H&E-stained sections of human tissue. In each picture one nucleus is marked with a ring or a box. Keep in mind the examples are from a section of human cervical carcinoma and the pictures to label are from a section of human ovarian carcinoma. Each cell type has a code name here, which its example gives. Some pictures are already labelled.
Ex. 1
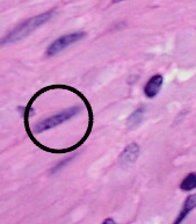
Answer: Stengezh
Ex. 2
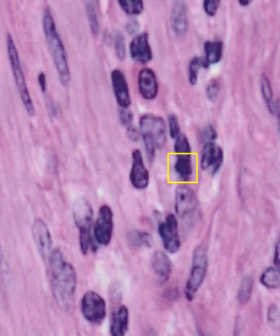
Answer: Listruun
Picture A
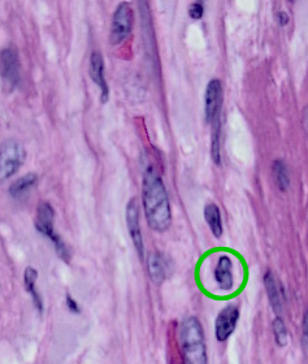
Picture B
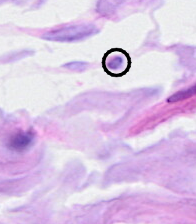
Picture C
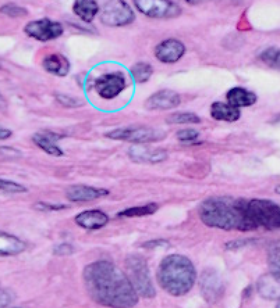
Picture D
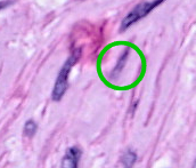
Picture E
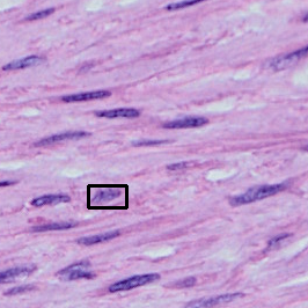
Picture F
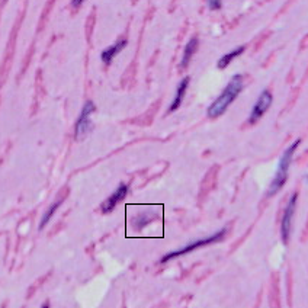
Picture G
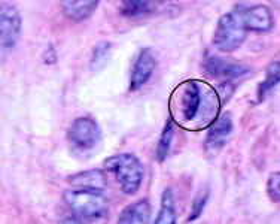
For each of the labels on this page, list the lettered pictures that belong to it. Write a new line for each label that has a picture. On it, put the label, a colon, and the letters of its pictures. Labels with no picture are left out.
Stengezh: D, E, F
Listruun: A, B, C, G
